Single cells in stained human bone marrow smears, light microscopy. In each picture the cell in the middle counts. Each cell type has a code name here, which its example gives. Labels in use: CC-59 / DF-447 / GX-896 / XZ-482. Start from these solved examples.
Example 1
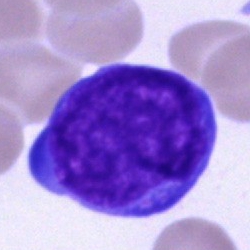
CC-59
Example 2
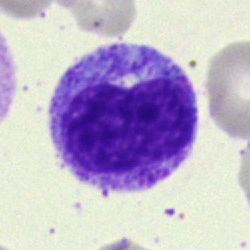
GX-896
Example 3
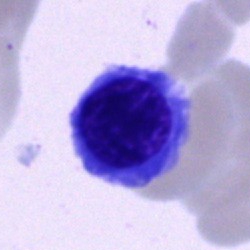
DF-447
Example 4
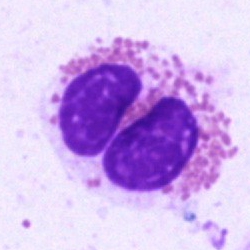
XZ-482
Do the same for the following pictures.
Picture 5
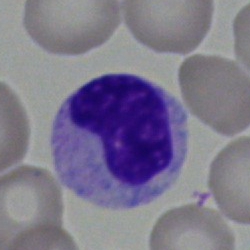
GX-896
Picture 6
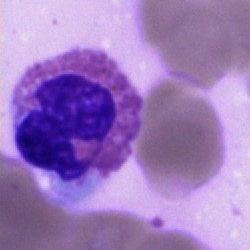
XZ-482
